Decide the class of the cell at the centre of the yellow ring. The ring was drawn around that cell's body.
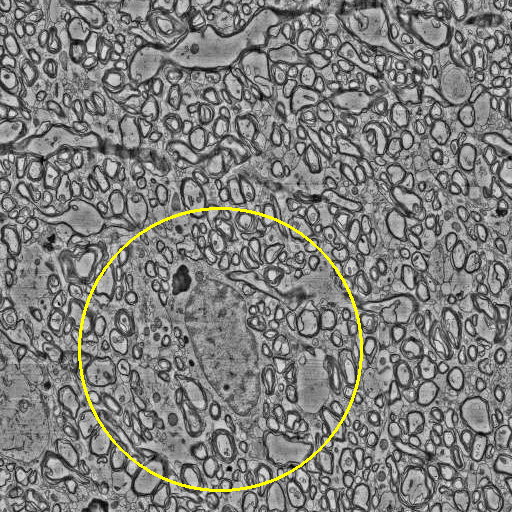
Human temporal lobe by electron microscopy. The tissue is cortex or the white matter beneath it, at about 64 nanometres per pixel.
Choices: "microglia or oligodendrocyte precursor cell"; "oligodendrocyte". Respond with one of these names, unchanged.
oligodendrocyte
